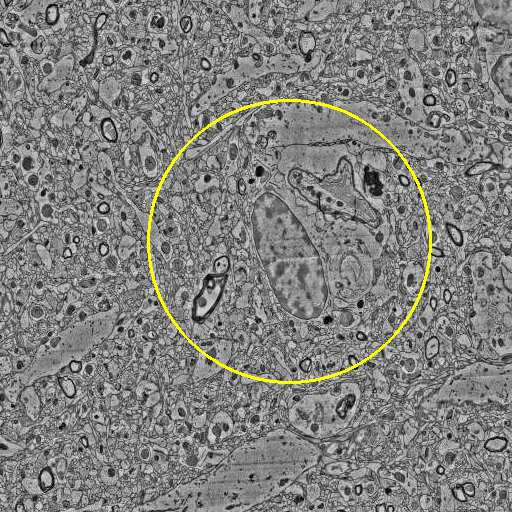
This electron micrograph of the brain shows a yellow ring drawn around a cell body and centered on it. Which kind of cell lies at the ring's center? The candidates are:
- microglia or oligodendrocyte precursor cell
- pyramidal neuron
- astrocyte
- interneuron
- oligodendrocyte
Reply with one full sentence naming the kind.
The cell lying at the ring's center in this micrograph is a microglial cell or oligodendrocyte precursor cell.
